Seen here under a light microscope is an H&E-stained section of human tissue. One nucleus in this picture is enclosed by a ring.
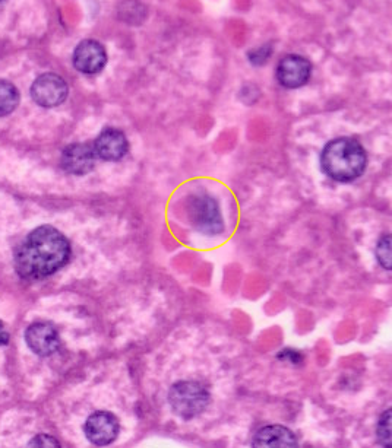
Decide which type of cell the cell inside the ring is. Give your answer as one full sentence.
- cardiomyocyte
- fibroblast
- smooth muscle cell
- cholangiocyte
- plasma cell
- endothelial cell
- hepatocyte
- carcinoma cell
The cell meant here is an endothelial cell.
